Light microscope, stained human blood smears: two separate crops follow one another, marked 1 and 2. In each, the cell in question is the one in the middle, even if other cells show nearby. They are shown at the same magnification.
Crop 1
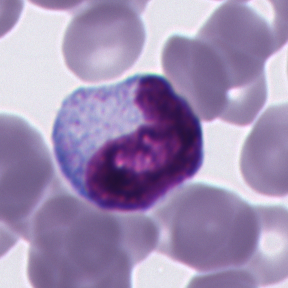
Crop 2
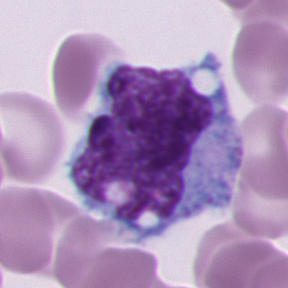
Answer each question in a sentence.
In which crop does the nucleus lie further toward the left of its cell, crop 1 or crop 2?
It is the nucleus in crop 2 that lies further toward the left of its cell.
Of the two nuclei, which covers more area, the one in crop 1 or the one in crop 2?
Crop 2 shows the larger nucleus; it covers about 1.5 times the area of the nucleus in crop 1.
